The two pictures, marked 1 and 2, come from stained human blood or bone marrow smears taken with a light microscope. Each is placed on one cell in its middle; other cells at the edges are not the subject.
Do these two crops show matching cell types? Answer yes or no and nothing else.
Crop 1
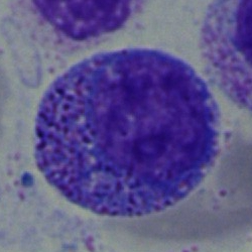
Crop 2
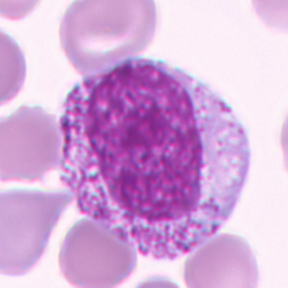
no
